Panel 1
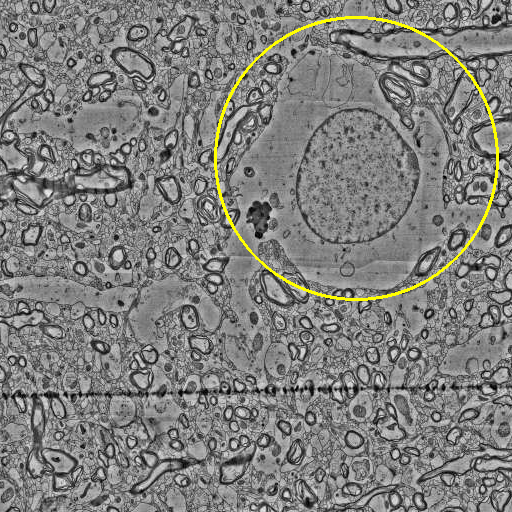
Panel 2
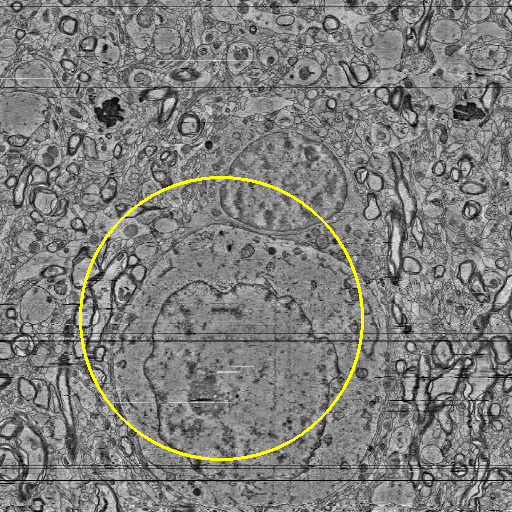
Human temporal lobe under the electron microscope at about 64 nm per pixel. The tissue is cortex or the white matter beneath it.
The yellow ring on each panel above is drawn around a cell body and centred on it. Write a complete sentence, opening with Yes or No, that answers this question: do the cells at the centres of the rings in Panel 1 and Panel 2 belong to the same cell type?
No, the two cells belong to two cell types.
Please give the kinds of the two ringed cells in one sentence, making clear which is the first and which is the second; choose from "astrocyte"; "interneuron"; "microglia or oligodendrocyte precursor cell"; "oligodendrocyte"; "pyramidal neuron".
In the second picture the ringed cell is a pyramidal neuron; in the first it is an astrocyte.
